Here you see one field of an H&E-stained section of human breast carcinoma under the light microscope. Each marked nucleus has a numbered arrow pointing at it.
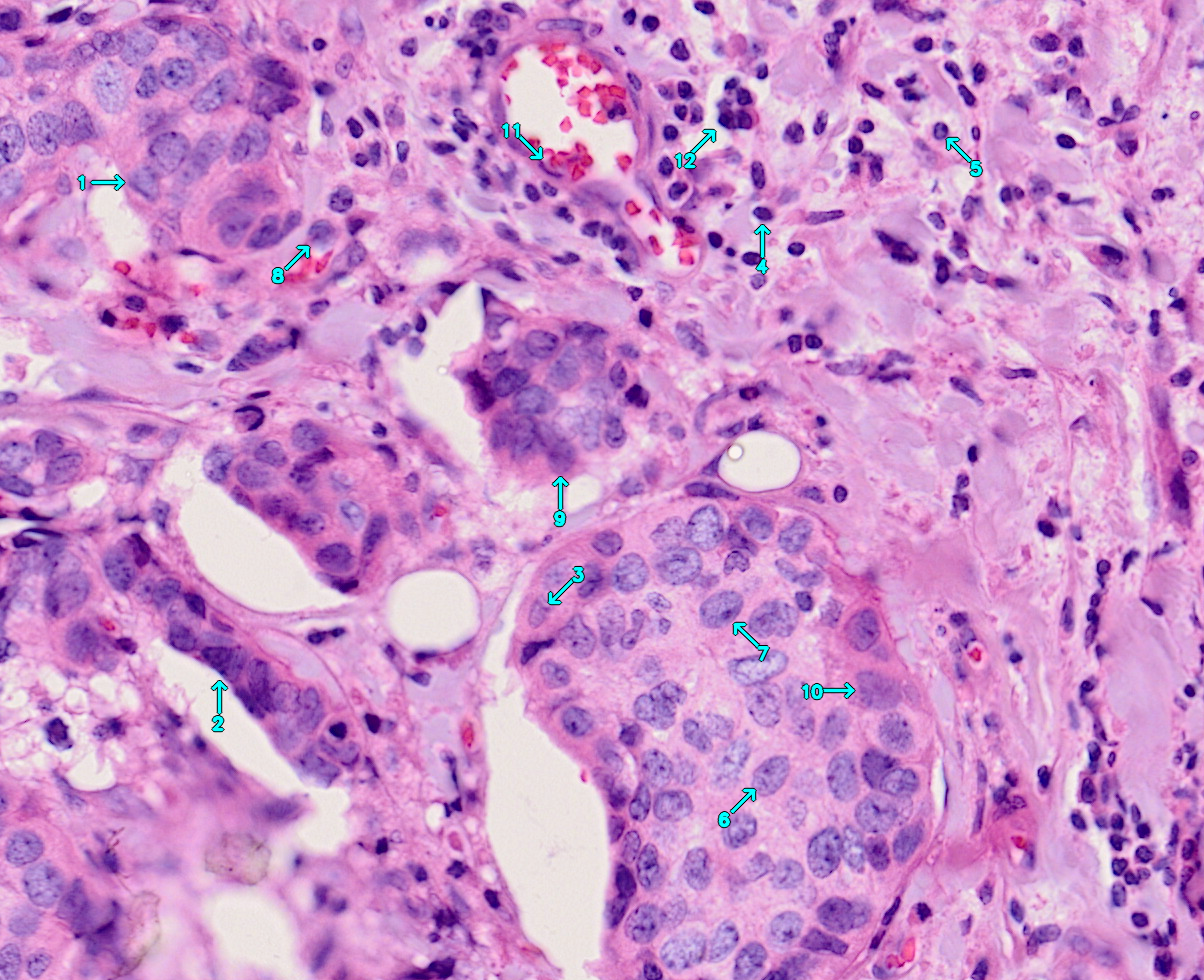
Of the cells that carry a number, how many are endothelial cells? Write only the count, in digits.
2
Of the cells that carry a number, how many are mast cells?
1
